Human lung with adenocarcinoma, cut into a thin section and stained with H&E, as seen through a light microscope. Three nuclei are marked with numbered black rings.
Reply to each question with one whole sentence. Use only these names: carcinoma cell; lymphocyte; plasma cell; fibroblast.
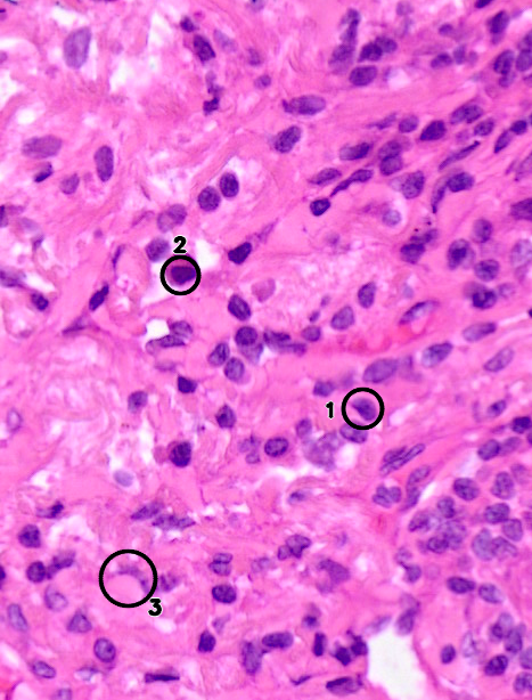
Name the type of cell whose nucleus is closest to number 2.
Closest to number 2 lies the nucleus of a lymphocyte.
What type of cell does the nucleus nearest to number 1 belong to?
The nucleus nearest to number 1 is that of a lymphocyte.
